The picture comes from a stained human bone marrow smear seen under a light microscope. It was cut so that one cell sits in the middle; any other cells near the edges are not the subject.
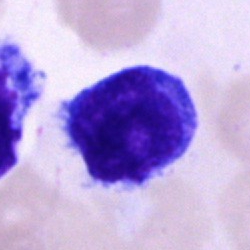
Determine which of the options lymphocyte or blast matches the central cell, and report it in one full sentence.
Whatever else lies nearby, the middle cell is a blast.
